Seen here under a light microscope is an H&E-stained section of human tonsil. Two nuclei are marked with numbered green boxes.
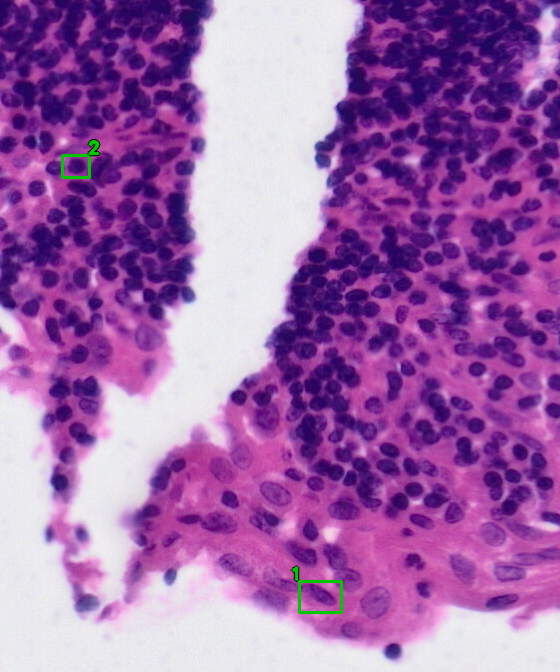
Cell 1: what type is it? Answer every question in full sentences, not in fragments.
The expected answer is that cell 1 is a squamous epithelial cell.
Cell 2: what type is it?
Cell 2 in the field of view is a plasma cell.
